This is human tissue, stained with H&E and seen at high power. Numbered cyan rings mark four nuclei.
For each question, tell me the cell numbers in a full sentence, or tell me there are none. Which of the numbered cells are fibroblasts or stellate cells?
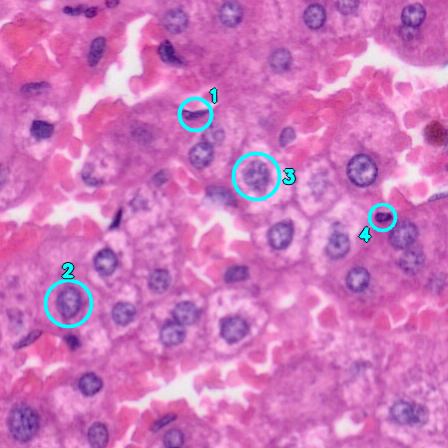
Only the cell numbered 4 is a fibroblast or stellate cell, and the others are something else.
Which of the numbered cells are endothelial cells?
Only the cell numbered 1 qualifies as an endothelial cell among the marked cells.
